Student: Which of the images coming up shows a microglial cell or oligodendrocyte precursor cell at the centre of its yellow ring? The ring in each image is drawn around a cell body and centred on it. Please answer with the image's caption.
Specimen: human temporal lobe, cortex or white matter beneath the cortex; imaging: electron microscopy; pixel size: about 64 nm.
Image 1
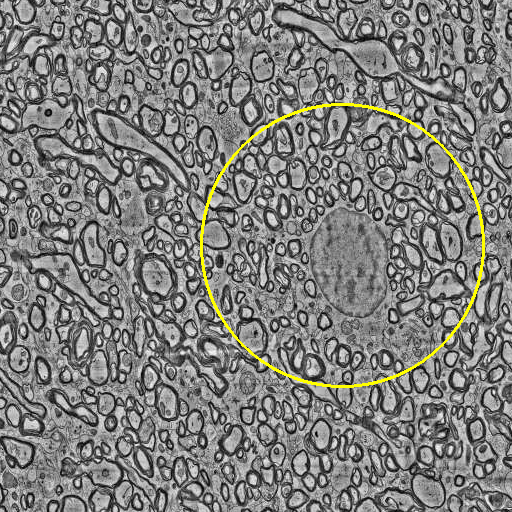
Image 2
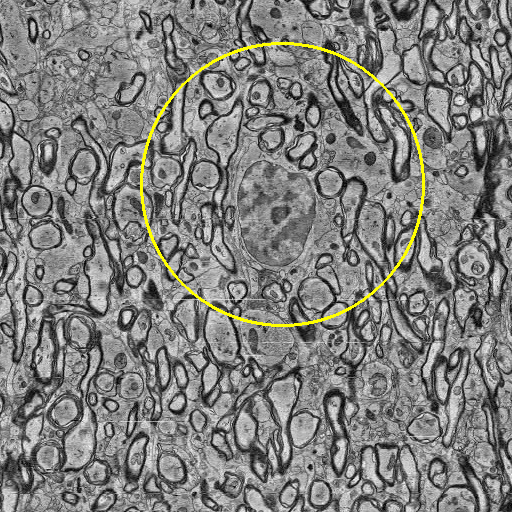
Image 2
